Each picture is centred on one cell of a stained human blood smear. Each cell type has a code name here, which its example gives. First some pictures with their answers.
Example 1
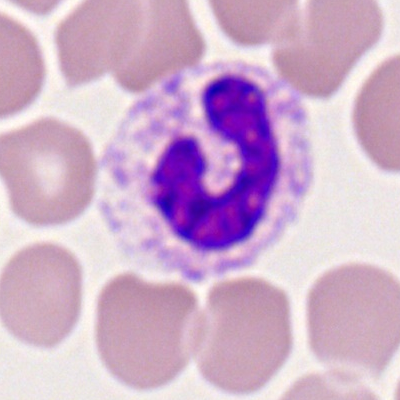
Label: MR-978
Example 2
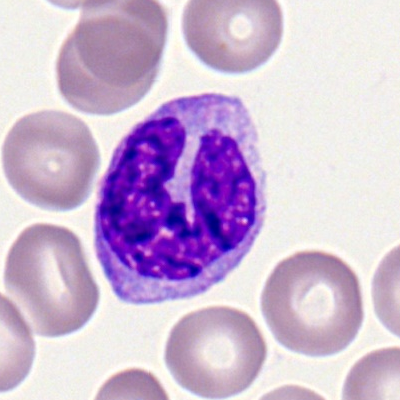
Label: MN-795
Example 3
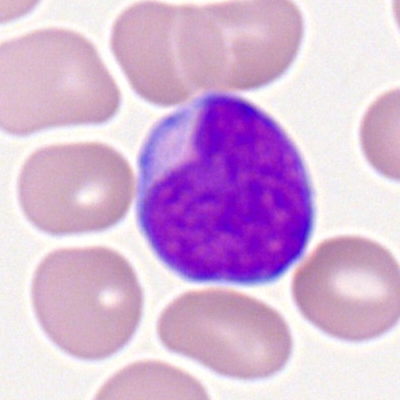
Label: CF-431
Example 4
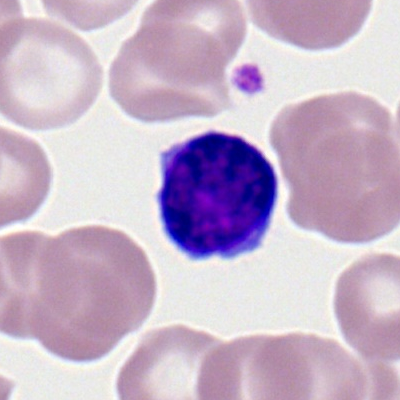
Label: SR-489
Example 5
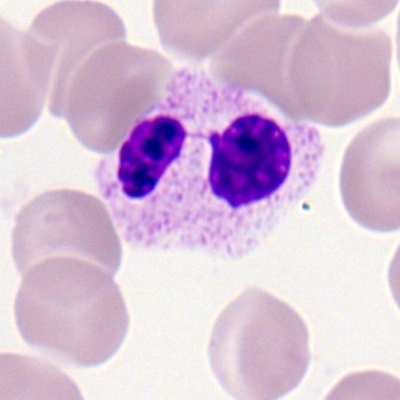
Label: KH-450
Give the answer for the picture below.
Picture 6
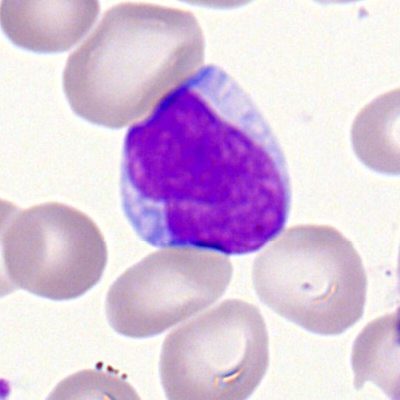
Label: CF-431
